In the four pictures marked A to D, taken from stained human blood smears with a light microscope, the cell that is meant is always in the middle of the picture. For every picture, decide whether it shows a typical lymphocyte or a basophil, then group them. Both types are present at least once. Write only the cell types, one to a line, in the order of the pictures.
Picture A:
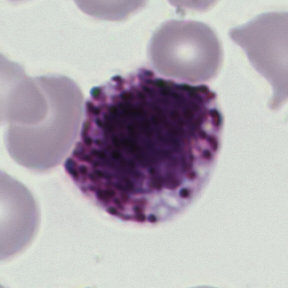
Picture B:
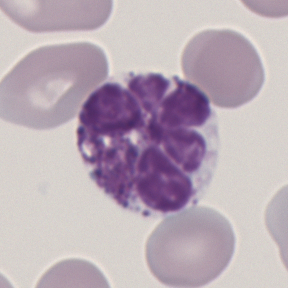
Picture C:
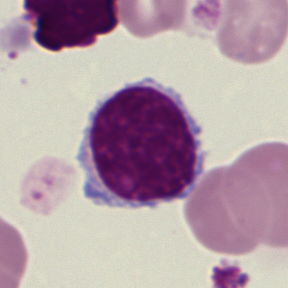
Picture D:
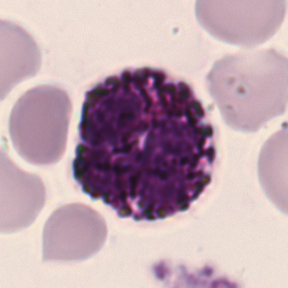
basophil
basophil
typical lymphocyte
basophil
